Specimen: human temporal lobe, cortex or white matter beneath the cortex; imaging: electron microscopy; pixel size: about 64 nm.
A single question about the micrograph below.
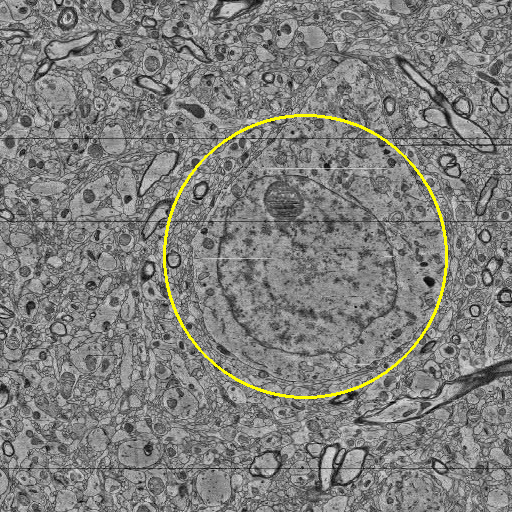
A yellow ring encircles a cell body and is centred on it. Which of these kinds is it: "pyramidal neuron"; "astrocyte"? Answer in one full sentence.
The cell body at the centre of the yellow ring belongs to a pyramidal neuron.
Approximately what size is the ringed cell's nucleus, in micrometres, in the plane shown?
In this plane the nucleus measures roughly 12 micrometres across.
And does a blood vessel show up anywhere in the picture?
No, no blood vessel shows in the picture.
